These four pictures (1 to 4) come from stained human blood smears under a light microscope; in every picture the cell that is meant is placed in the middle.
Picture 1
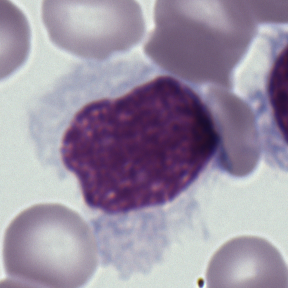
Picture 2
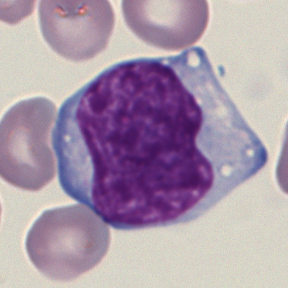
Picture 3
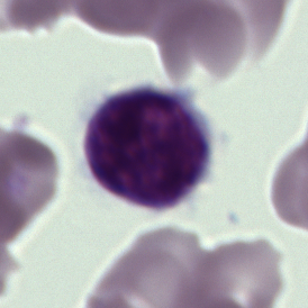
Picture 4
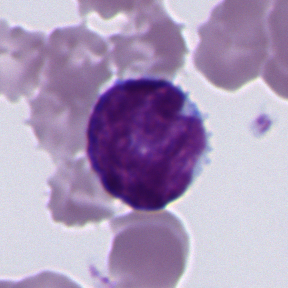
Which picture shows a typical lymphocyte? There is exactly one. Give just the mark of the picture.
4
